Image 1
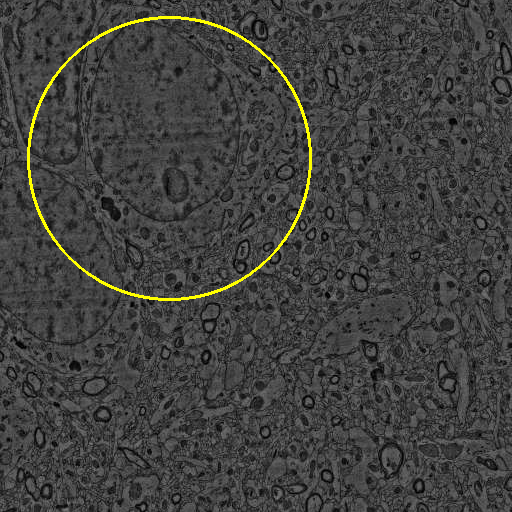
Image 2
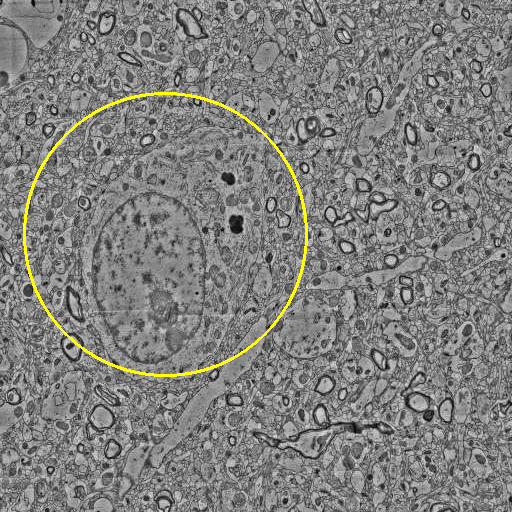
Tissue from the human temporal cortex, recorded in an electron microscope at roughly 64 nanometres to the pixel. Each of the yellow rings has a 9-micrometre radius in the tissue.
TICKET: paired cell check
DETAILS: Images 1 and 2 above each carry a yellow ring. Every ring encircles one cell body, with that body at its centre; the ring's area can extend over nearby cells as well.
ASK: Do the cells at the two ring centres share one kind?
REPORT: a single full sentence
No, the ring-centre cells of Images 1 and 2 belong to two kinds.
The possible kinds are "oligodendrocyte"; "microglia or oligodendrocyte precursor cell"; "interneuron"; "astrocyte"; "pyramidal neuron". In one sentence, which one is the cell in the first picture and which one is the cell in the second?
The cell ringed in the second picture is an interneuron, whereas the one ringed in the first is a pyramidal neuron.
